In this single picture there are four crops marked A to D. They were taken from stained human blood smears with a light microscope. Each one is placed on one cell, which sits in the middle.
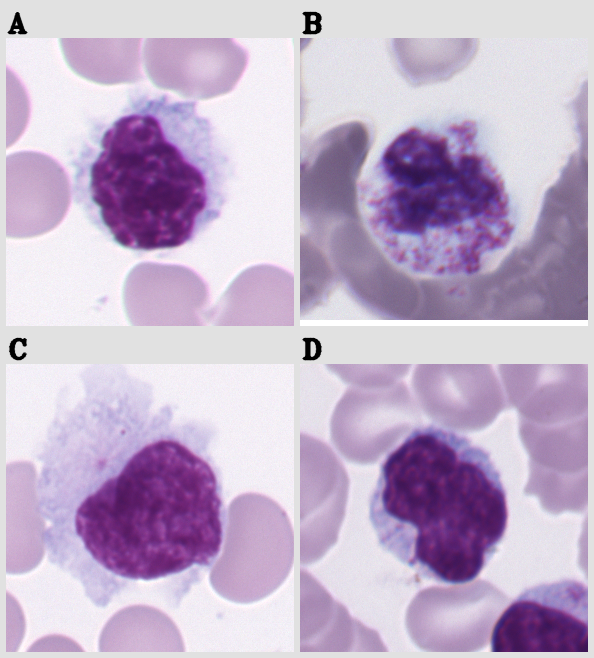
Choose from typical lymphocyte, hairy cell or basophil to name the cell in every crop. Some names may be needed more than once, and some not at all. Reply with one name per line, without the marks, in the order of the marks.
hairy cell
basophil
hairy cell
typical lymphocyte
